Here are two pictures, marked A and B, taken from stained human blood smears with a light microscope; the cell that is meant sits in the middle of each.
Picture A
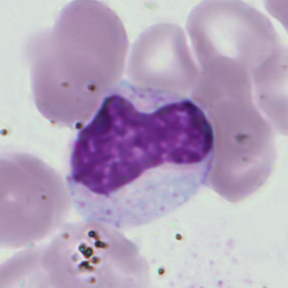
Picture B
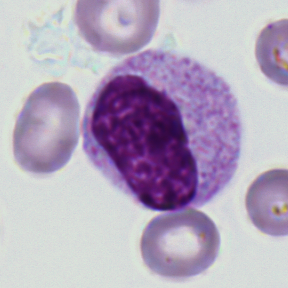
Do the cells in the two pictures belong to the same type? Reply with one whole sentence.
Yes; the cells in both pictures are metamyelocytes.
